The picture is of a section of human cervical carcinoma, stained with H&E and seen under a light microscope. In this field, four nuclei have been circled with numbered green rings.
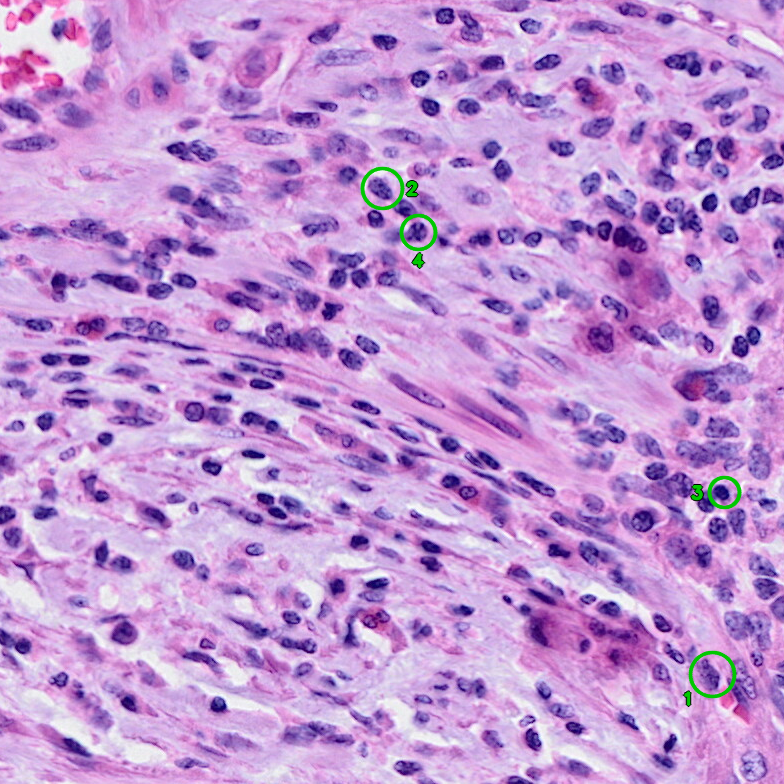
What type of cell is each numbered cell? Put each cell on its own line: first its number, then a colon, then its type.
1: endothelial cell
2: lymphocyte
3: lymphocyte
4: lymphocyte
